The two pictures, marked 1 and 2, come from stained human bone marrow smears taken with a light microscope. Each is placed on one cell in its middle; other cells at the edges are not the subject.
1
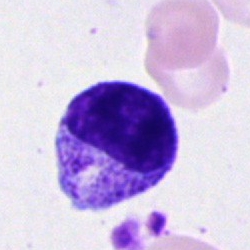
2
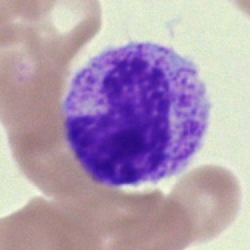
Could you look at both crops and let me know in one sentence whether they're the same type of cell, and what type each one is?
Yes, both crops alike show metamyelocytes at the centre.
